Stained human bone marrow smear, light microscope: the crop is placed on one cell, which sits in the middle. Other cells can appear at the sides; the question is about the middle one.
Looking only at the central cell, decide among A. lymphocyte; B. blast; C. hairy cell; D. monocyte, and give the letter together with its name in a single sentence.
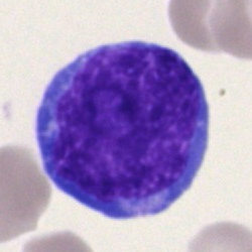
The central cell of the crop is a blast, which makes B the correct option.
